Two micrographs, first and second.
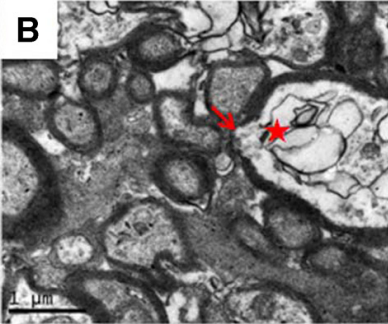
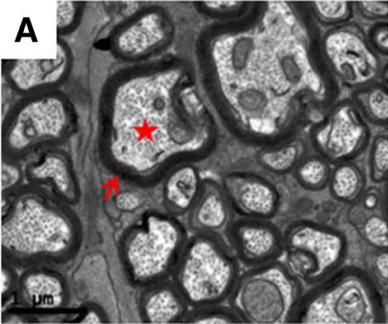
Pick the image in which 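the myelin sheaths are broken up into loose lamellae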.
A: the first image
